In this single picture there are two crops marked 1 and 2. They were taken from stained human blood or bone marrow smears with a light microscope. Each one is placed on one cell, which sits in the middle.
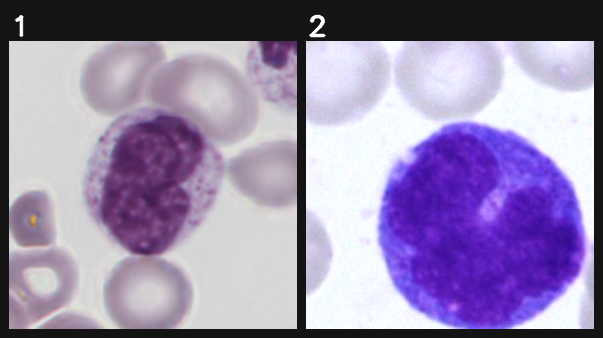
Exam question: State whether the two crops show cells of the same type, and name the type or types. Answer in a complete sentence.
No, crop 1 presents a metamyelocyte, whereas crop 2 presents a monocyte.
